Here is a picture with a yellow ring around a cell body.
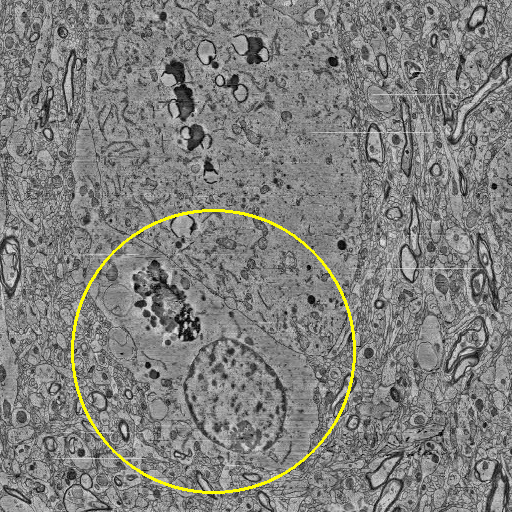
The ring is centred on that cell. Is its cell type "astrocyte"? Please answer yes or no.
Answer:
yes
